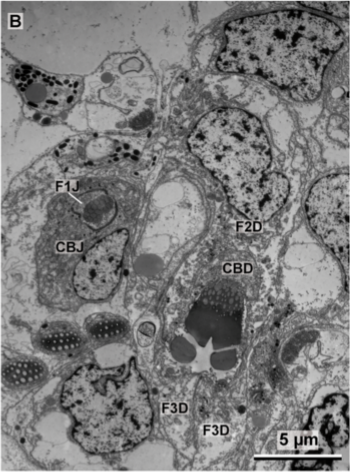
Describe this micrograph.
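This electron micrograph shows the chaetal formative site, with chaetoblasts surrounded by follicle cells. Several large nuclei with coarse, dark chromatin clumps fill much of the field. In the centre, a chaetoblast apex bears a tuft of microvilli beside dark, electron-dense profiles of forming chaetal material. Round cross-sections perforated by many small pale dots lie among the cells, which also contain pale vacuoles.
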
